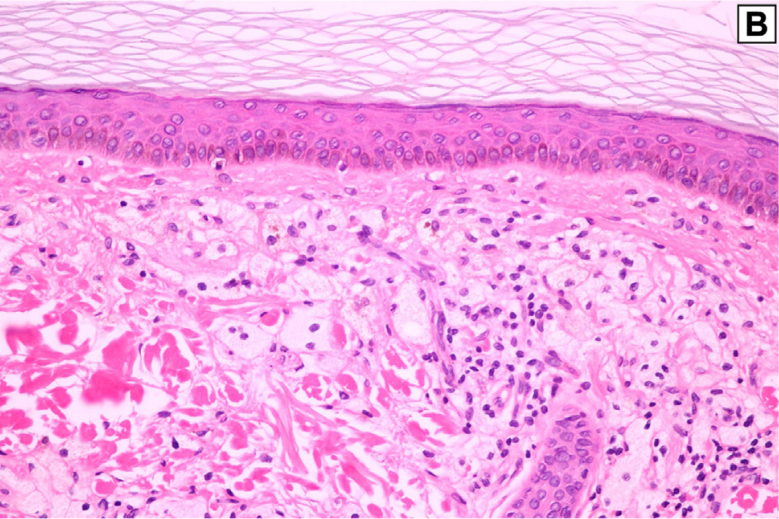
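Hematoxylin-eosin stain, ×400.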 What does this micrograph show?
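Skin, upper dermis beneath a thin epidermis with basket-weave keratin, filled by sheets of foamy histiocytes with scattered lymphocytes. The histiocytes are large, with abundant pale, bubbly, finely vacuolated cytoplasm and small round to oval nuclei. Interspersed are small cells with dark, round nuclei and scant cytoplasm, more frequent toward the lower right. No multinucleated giant cells are evident. Deeper, bright pink collagen bundles are separated by the pale cells.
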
